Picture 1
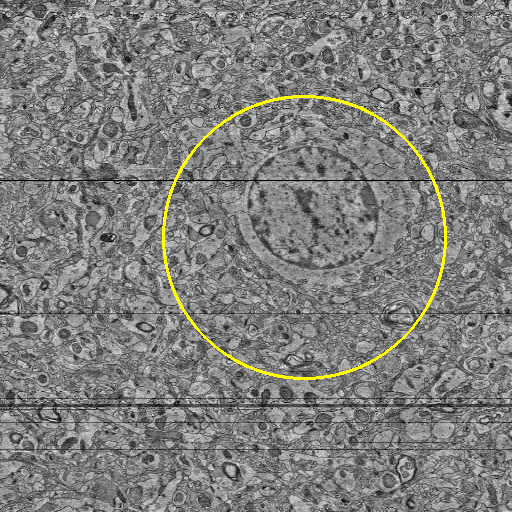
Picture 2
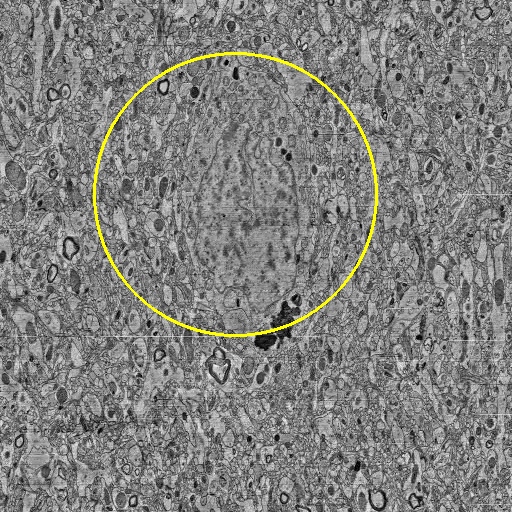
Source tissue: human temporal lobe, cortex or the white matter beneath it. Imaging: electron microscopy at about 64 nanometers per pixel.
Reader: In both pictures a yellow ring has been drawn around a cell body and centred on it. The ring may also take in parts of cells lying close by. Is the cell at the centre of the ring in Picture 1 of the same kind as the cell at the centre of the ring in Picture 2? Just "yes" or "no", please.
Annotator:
no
